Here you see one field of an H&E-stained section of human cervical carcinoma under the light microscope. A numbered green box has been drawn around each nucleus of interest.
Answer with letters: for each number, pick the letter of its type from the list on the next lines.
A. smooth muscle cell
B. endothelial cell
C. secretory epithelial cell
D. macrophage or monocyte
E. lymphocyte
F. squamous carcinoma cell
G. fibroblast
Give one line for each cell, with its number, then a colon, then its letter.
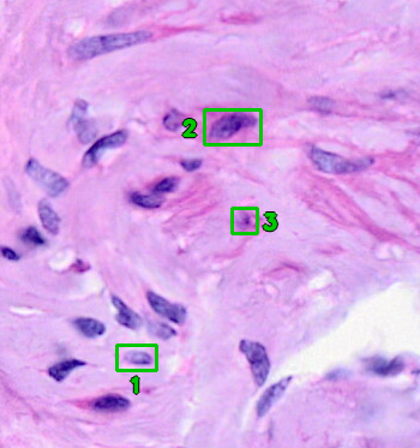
1: G
2: A
3: A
